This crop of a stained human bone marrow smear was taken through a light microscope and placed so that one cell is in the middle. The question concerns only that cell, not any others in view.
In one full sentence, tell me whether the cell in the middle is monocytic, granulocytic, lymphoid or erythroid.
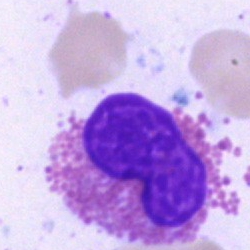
As for the cell in the middle, its lineage is granulocytic.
